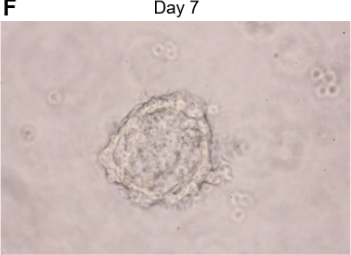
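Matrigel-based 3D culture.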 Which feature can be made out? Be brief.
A: organoid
